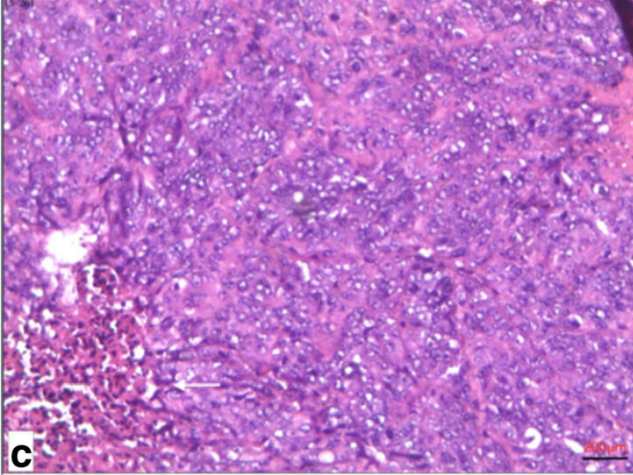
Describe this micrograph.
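This is a tumour composed of densely packed tumour cells with very little stroma between them. Cytoplasm is pink and scant to moderate, with indistinct cell borders. Thin darker purple strands of stroma run sparsely between cell groups. At the lower left lies a small area with loose tissue and many red blood cells, and pale pink eosinophilic zones are seen at the upper right edge.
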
